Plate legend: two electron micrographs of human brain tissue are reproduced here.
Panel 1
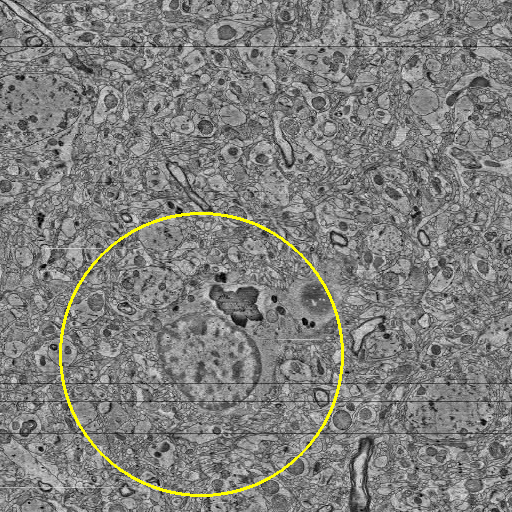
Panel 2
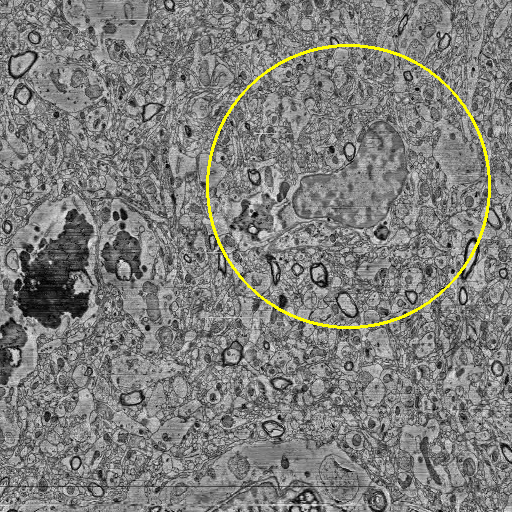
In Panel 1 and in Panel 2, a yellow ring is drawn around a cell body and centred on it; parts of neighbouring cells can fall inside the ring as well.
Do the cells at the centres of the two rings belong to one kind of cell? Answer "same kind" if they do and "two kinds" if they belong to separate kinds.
two kinds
